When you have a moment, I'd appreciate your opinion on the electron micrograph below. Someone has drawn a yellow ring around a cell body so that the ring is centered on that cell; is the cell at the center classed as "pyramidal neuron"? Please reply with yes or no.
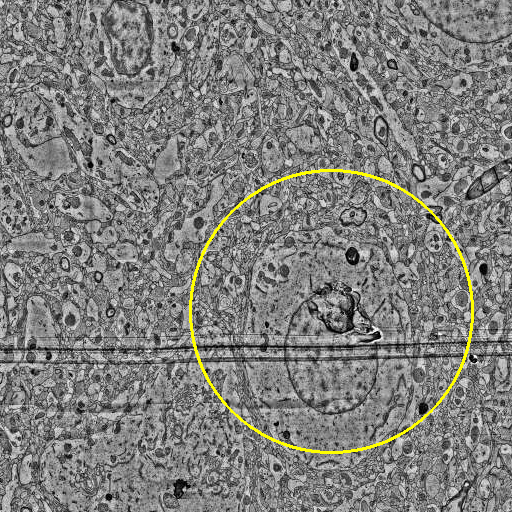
Yes, that cell is of the named kind.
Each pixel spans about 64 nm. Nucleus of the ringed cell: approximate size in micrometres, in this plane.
Approximately 8 x 6 micrometres in this plane.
